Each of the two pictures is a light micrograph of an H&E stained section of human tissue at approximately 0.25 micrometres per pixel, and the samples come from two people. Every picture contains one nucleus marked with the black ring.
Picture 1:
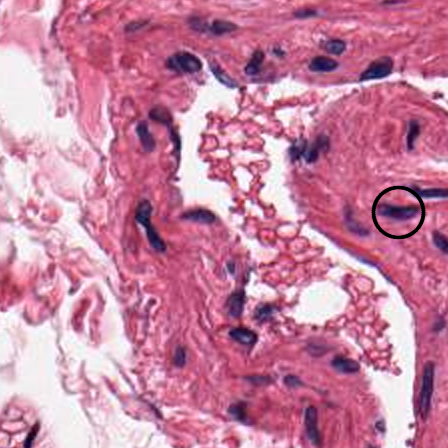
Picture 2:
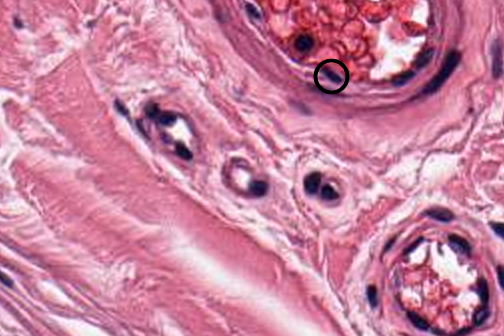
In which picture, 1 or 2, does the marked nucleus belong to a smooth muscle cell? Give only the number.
1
